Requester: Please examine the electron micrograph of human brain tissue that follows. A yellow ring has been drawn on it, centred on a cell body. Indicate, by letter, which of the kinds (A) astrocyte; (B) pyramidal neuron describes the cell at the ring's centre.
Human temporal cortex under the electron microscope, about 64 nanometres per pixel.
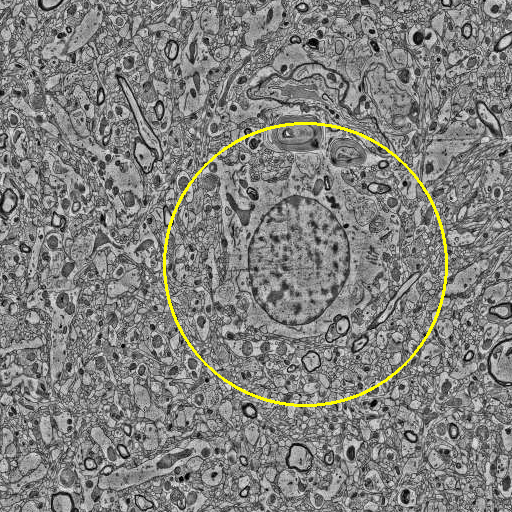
A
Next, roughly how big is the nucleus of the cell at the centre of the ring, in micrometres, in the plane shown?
The nucleus appears roughly 8 by 6 micrometres in this plane.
